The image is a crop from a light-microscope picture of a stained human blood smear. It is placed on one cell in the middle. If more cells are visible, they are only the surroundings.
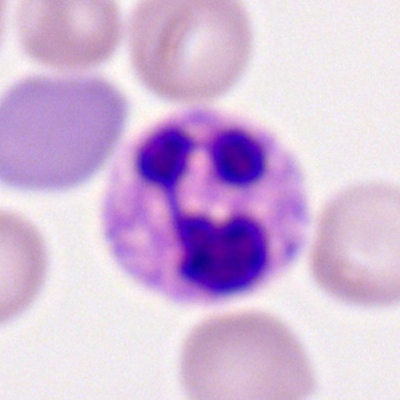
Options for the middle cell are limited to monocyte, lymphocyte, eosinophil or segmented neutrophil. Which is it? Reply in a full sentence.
Framed in the middle of the crop is a segmented neutrophil.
